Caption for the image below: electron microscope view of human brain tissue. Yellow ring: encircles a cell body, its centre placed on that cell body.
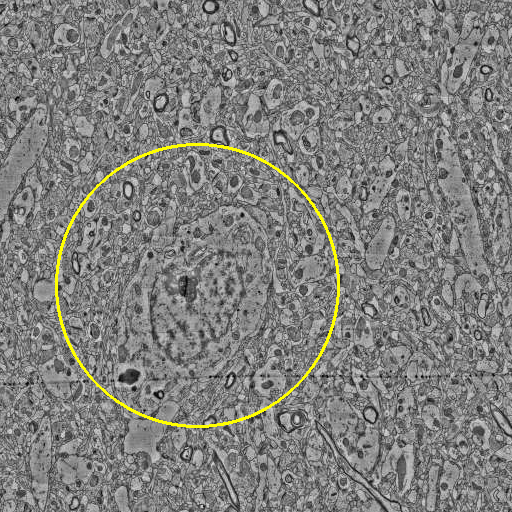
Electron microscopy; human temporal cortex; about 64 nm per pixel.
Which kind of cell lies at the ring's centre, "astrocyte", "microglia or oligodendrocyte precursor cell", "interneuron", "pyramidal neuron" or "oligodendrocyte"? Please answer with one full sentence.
The picture shows an interneuron at the centre of the yellow ring.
